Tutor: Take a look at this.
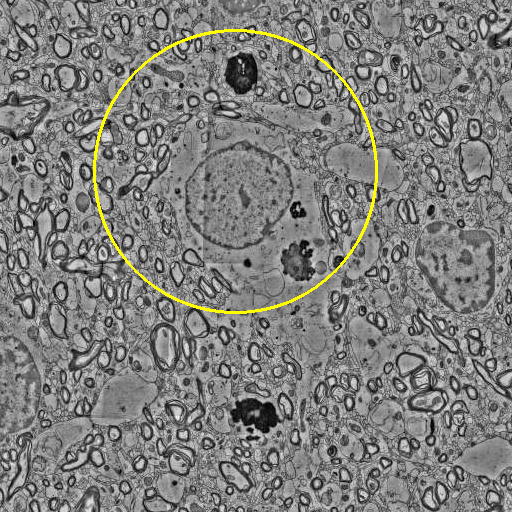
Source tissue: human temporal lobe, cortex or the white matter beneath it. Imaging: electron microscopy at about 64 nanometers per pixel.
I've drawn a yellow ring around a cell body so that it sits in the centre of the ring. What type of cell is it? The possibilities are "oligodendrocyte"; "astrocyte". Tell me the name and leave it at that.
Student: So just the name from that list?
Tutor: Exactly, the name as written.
astrocyte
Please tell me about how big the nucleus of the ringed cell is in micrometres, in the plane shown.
Approximately 7 micrometers across in this plane.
